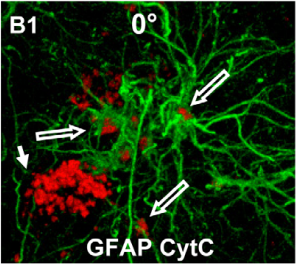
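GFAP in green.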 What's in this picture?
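A dense green centre gives off many long, thin, branching processes radiating in all directions across the field. Red granular clusters lie among the processes; a large, lobulated red cluster sits at the left, and smaller red deposits lie close to the green centre and along processes below it. Green processes pass over and between the red clusters, partly enclosing them.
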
